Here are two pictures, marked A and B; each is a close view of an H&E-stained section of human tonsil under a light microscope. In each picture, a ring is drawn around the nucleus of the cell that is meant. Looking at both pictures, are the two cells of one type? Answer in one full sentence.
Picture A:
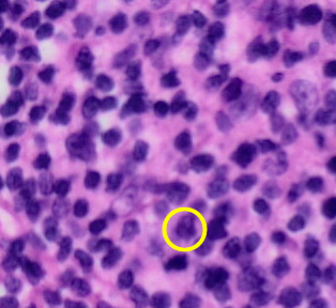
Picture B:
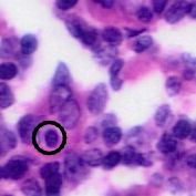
No; the cell in picture A is a proliferating B cell, while the one in picture B is an endothelial cell.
